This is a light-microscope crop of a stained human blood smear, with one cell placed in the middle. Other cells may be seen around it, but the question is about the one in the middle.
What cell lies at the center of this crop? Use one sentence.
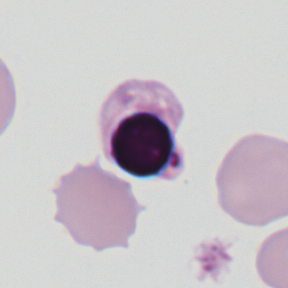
To answer, the cell in the center of the crop is a normoblast.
